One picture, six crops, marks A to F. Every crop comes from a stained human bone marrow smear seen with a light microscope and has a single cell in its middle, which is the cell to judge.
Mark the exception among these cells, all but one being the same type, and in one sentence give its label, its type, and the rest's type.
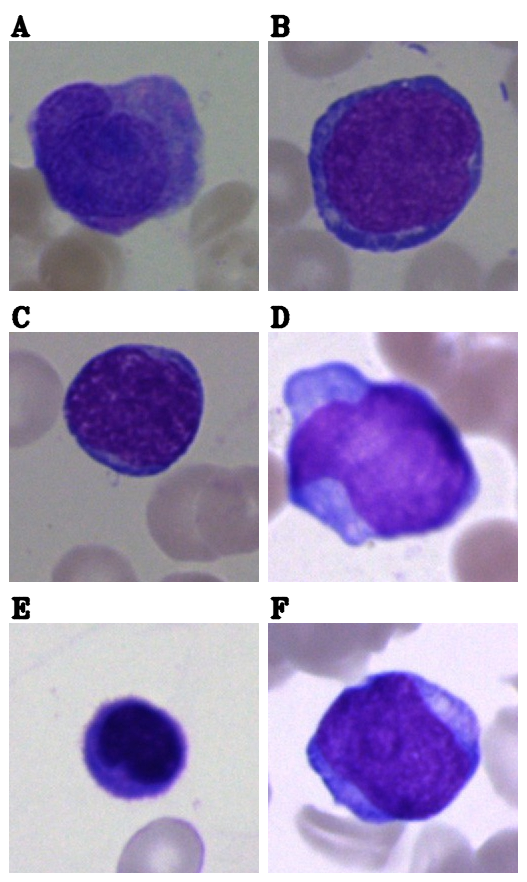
In this set, all crops show blasts apart from crop E, which is a lymphocyte.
